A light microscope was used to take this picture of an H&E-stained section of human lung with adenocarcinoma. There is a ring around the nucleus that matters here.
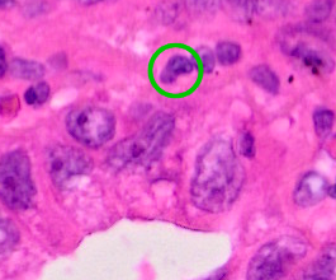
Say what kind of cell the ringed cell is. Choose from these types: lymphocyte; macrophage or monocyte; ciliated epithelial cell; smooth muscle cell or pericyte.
lymphocyte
